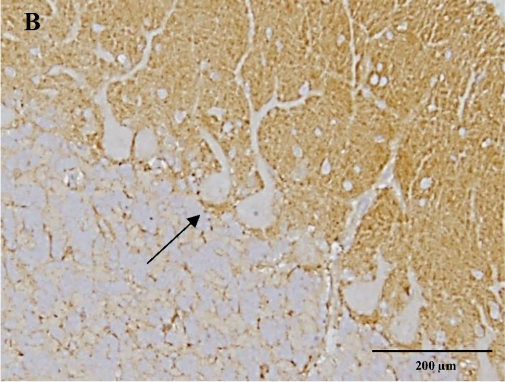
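This is cerebellar cortex with a row of large Purkinje cells lying between the molecular layer above and the granular layer below. The Purkinje cell bodies are pale and unstained, flask-shaped, with thick pale dendritic trunks rising into the molecular layer. The molecular layer is densely and evenly brown, and brown fibres crowd around the bases of the Purkinje cells. The granular layer beneath is pale with only scattered brown fibres.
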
